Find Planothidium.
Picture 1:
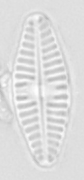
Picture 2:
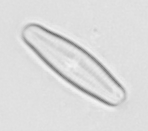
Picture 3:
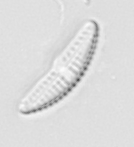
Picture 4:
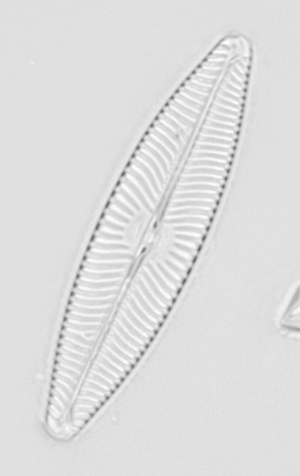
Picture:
1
